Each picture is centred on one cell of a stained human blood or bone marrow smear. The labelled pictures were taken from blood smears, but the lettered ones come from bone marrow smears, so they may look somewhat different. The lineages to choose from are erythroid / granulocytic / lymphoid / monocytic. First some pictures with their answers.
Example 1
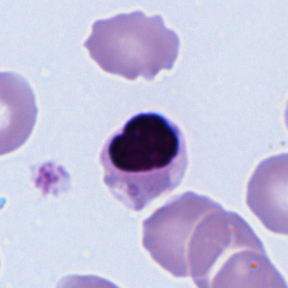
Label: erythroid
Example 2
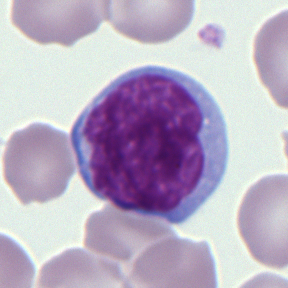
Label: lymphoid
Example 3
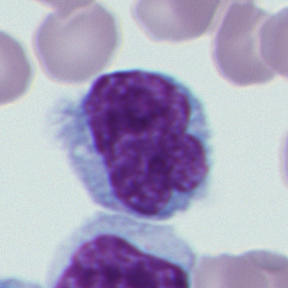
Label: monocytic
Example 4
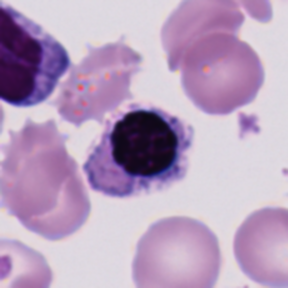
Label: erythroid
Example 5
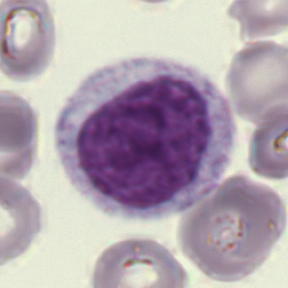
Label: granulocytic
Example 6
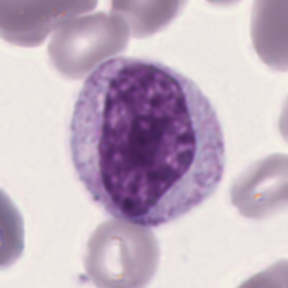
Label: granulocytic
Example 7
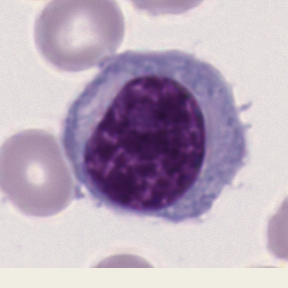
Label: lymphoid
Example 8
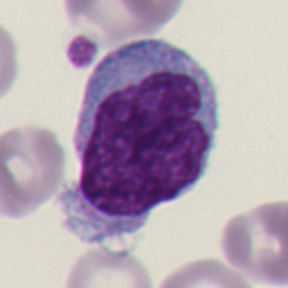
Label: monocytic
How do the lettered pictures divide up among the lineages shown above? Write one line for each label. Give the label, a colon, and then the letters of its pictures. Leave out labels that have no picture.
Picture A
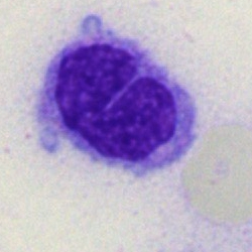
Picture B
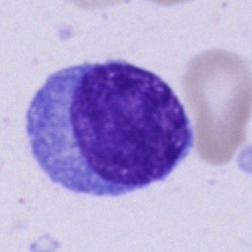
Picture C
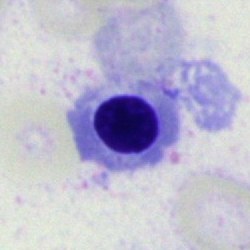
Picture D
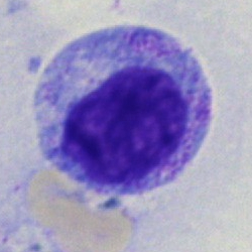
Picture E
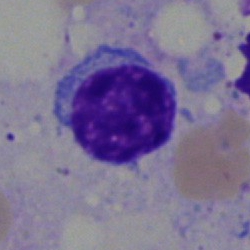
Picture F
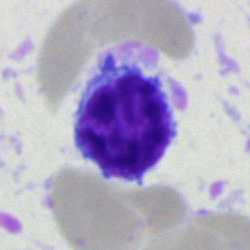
erythroid: C
granulocytic: D
lymphoid: B, E, F
monocytic: A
